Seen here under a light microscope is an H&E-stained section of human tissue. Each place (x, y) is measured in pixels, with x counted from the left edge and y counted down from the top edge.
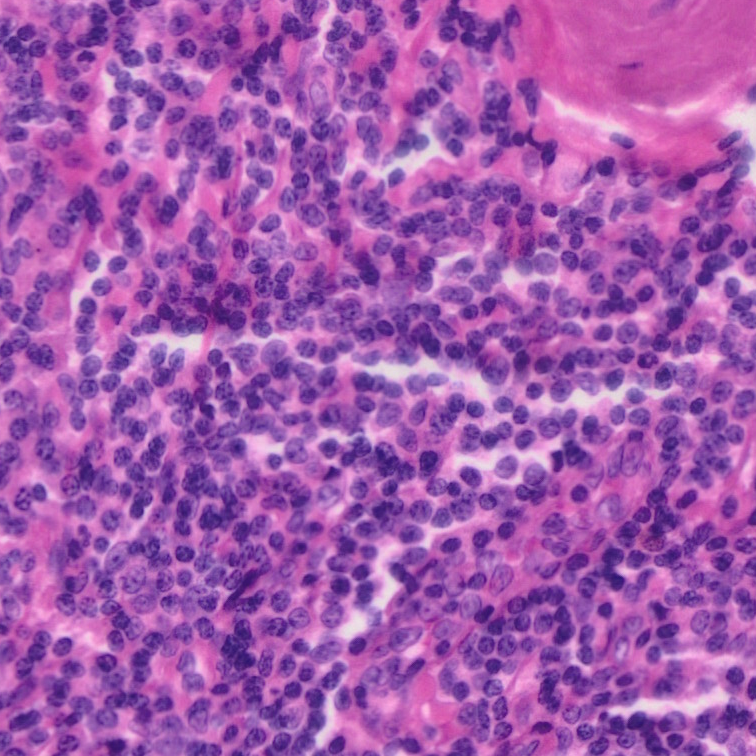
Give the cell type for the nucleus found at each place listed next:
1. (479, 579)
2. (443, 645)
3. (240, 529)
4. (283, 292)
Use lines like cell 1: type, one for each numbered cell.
cell 1: endothelial cell
cell 2: endothelial cell
cell 3: small lymphocyte
cell 4: small lymphocyte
